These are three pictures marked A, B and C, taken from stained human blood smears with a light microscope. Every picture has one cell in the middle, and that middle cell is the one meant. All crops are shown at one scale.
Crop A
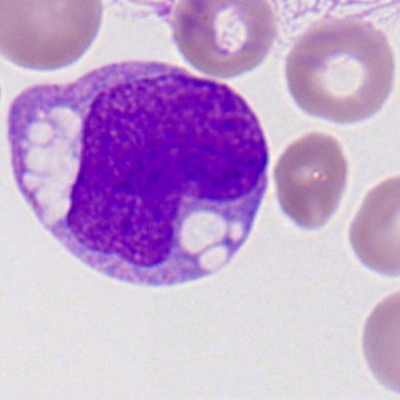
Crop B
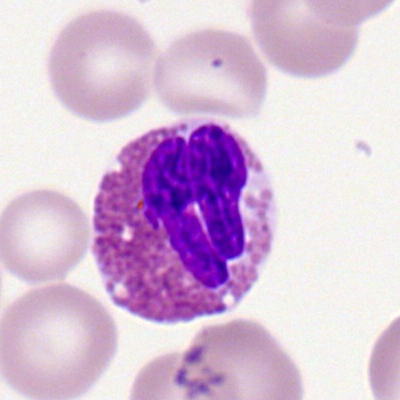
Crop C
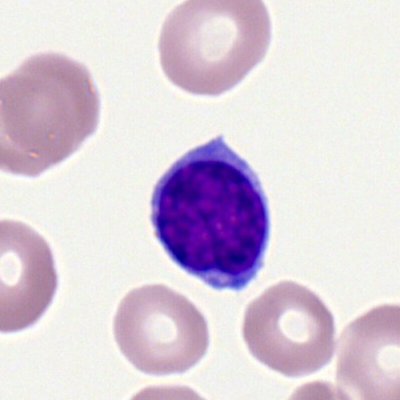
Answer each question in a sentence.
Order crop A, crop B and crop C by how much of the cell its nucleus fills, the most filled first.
The most filled comes first: C, A, B.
